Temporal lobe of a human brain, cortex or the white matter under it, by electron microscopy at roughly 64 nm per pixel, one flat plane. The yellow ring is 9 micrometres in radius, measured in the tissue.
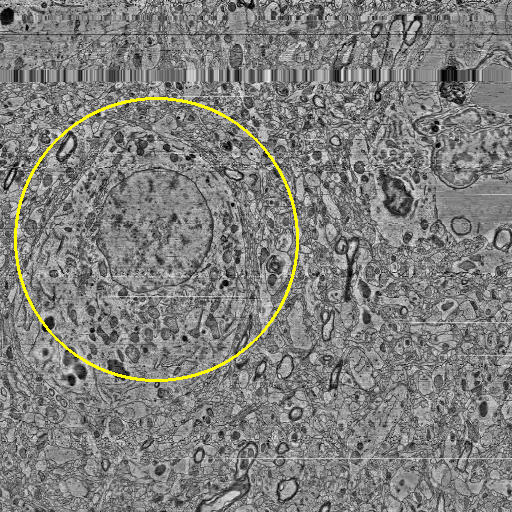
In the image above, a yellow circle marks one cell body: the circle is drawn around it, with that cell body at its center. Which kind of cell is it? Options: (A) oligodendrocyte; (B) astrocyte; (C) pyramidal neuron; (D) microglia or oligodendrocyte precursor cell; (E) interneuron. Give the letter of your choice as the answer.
E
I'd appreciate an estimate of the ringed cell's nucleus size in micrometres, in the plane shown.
About 8 micrometres across in this plane.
